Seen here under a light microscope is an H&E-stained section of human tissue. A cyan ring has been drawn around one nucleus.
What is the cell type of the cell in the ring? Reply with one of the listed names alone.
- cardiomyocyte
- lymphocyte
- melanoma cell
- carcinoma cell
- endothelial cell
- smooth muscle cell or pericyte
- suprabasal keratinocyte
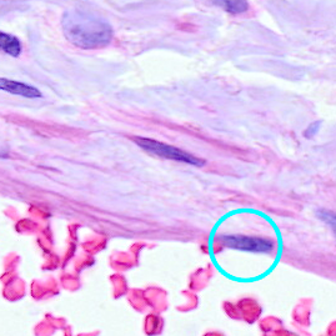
endothelial cell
